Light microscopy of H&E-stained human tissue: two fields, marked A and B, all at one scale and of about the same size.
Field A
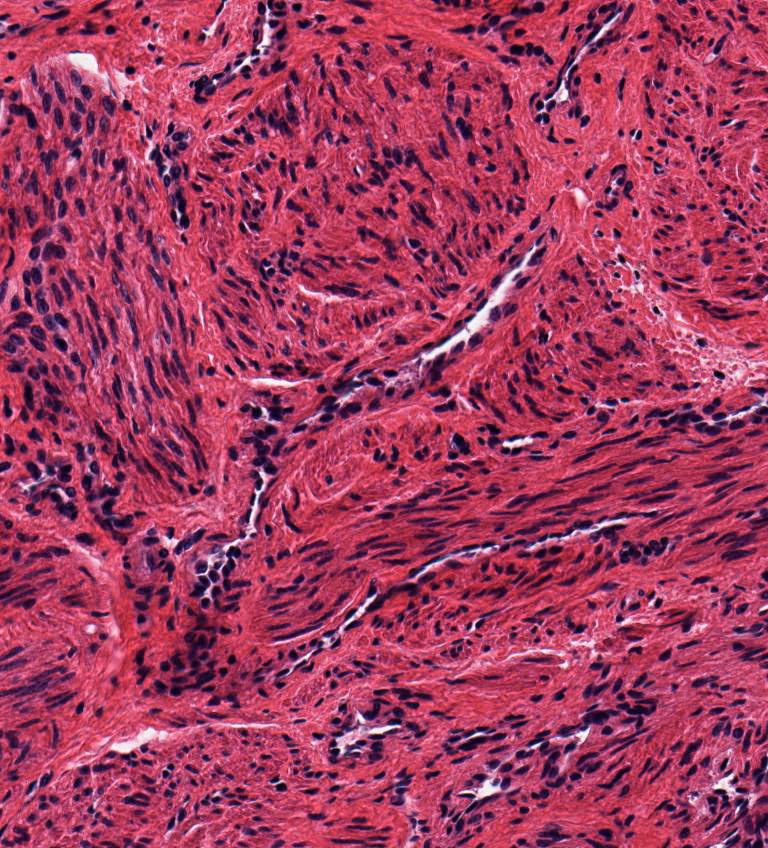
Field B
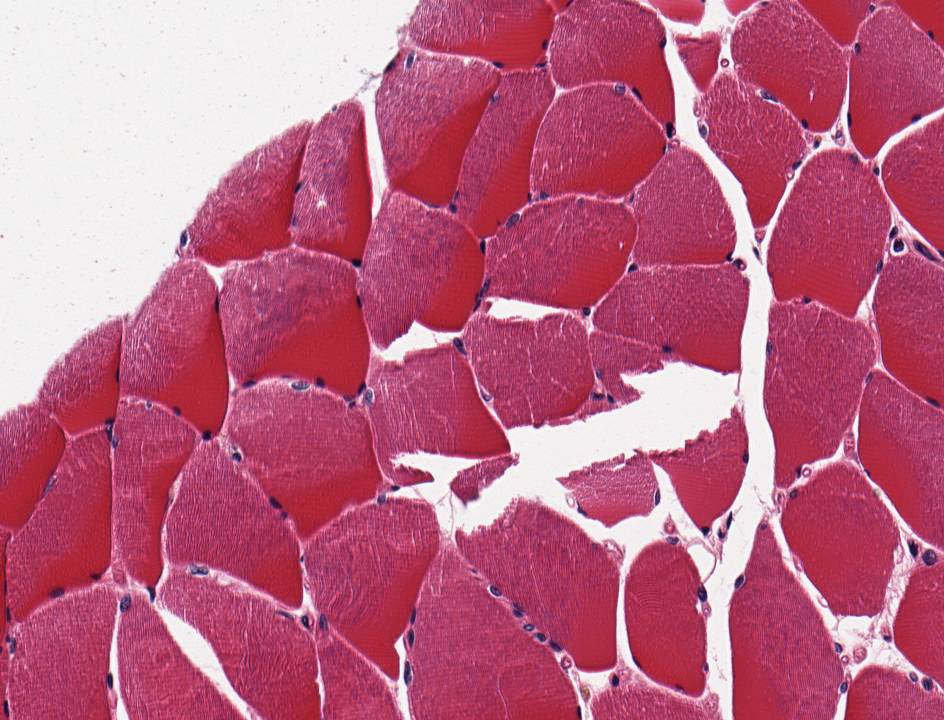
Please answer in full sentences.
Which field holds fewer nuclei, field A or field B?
The smaller number of nuclei is in field B.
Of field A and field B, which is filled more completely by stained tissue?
It is field A that stained tissue fills more completely.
